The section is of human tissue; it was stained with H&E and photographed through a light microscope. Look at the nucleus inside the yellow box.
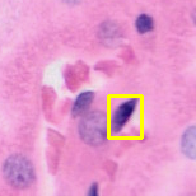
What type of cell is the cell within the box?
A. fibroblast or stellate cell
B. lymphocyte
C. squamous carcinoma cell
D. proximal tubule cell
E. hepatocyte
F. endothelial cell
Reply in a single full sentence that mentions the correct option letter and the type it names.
It is correct to say that the cell within the box is an endothelial cell, as option F does.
